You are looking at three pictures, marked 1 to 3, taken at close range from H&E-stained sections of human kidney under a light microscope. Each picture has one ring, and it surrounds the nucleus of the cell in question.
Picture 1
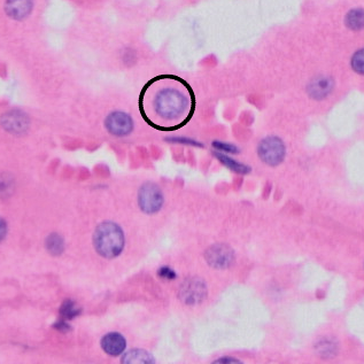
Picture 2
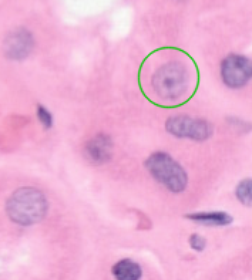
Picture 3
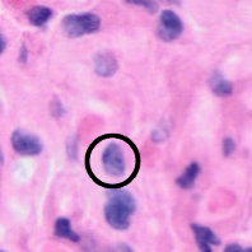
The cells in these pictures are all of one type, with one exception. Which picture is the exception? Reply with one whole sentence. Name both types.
Picture 3 differs, because its cell is an endothelial cell and the rest are proximal tubule cells.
